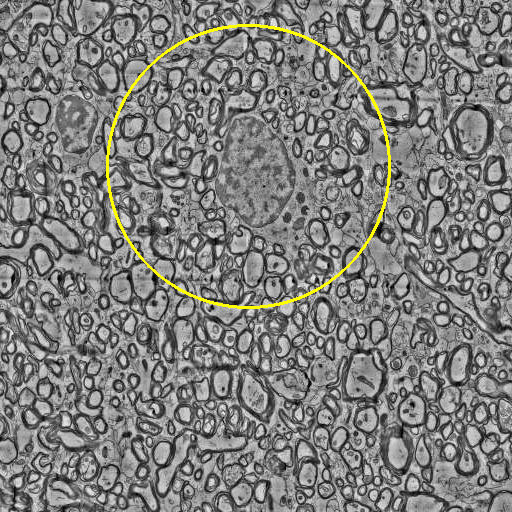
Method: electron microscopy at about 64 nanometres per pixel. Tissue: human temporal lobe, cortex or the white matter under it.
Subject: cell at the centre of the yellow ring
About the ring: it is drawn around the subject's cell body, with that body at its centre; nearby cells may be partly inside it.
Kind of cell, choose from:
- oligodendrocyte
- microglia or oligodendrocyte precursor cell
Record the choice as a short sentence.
The subject cell is an oligodendrocyte.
